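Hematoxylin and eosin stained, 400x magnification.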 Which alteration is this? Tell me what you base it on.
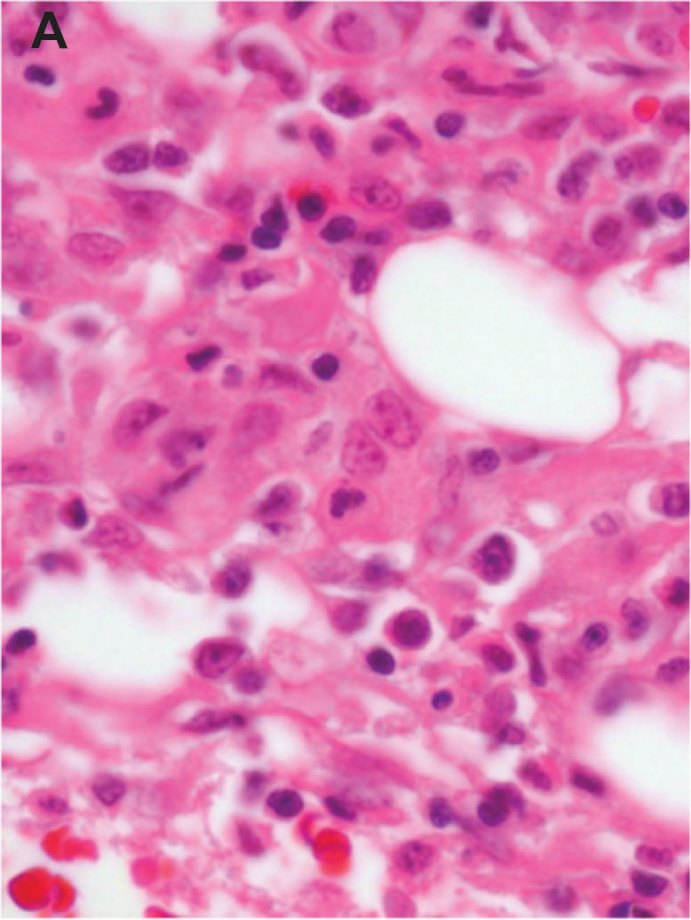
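Many large cells with abundant pink cytoplasm and oval nuclei fill the section. Smaller dark round nuclei of other marrow cells lie between them. On this evidence: marrow infiltration by macrophages.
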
